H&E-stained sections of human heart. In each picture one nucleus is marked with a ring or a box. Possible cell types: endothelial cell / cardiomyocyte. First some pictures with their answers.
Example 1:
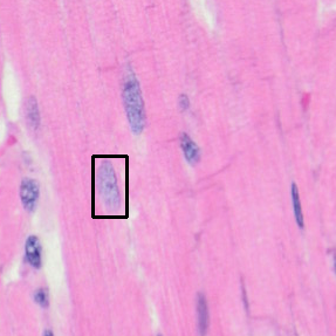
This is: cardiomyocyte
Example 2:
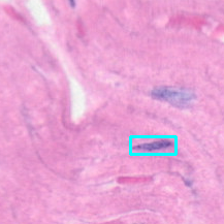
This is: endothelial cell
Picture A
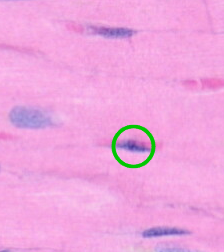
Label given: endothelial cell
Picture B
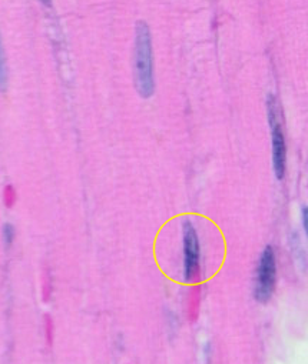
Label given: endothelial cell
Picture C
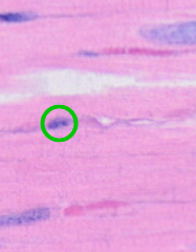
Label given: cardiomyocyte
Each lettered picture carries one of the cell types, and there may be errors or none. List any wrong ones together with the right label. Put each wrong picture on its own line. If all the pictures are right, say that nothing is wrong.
C: not cardiomyocyte but endothelial cell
